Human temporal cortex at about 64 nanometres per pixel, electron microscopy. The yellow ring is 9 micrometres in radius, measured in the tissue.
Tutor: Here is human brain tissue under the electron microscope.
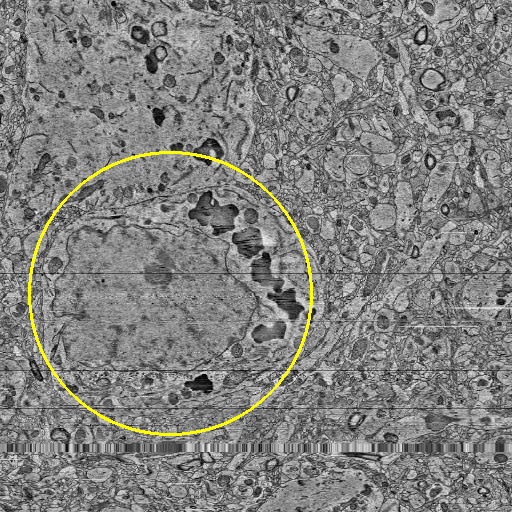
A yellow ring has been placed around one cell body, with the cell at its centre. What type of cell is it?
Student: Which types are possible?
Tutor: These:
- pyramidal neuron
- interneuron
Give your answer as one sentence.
What the ring picks out here is an interneuron.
